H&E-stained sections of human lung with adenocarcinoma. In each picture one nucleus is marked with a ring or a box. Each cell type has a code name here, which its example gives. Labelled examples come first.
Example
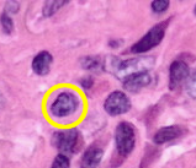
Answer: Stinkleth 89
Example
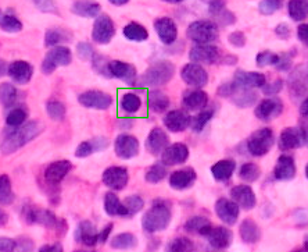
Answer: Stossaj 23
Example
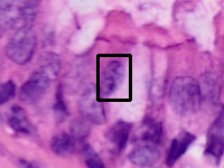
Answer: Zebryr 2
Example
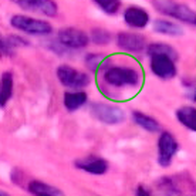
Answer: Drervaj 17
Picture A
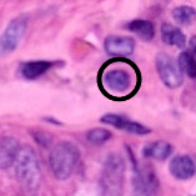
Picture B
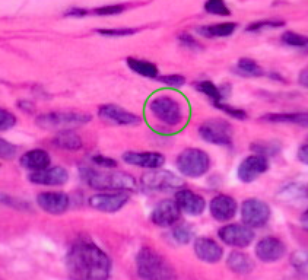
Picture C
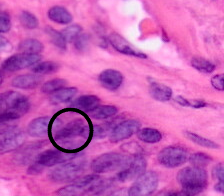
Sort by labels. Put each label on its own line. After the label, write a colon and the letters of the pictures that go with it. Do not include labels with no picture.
Stinkleth 89: A, B
Zebryr 2: C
